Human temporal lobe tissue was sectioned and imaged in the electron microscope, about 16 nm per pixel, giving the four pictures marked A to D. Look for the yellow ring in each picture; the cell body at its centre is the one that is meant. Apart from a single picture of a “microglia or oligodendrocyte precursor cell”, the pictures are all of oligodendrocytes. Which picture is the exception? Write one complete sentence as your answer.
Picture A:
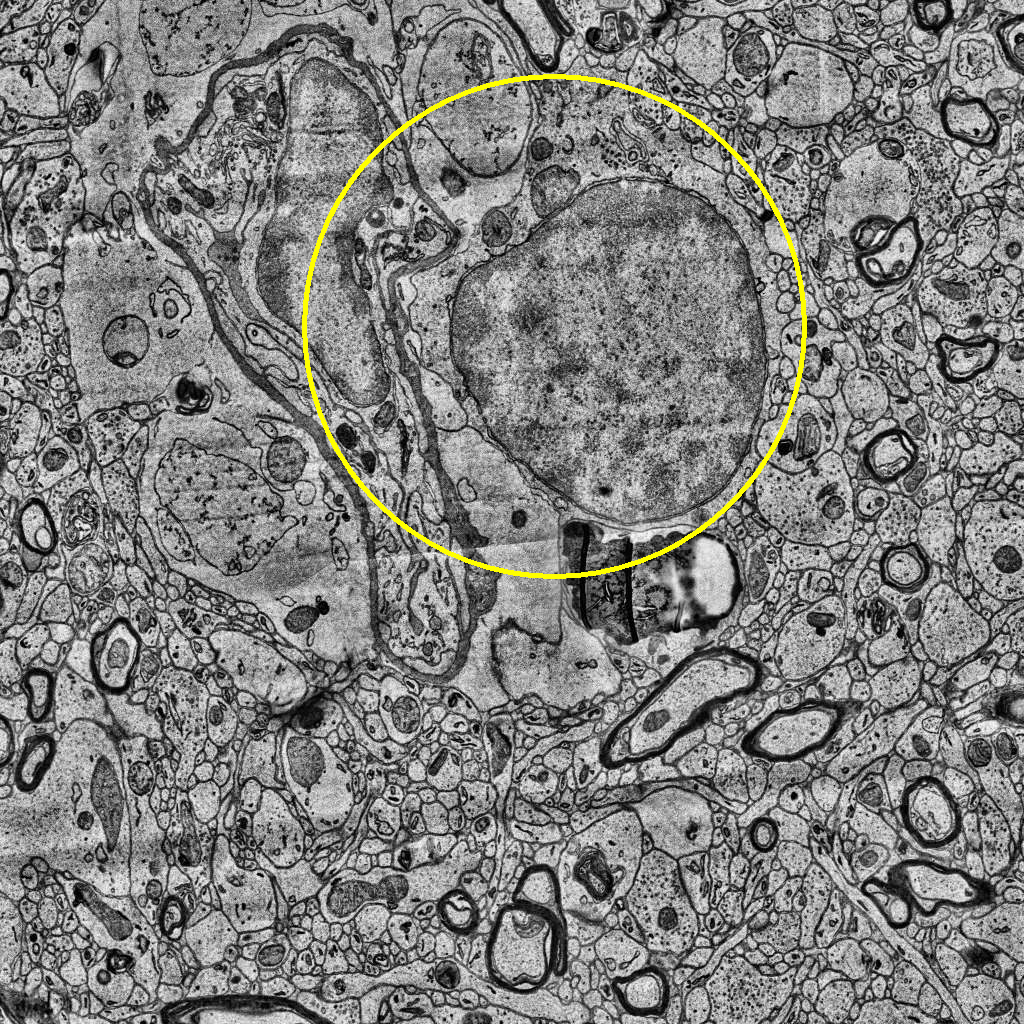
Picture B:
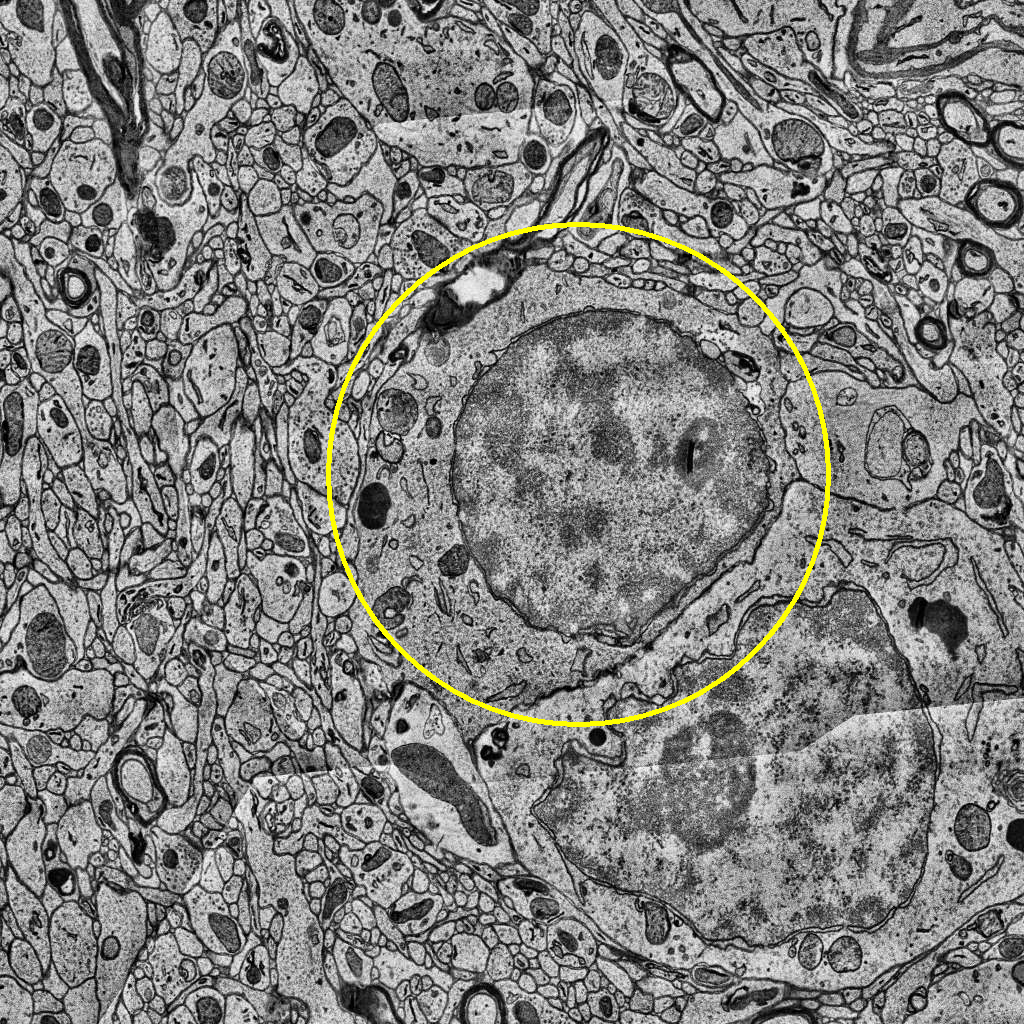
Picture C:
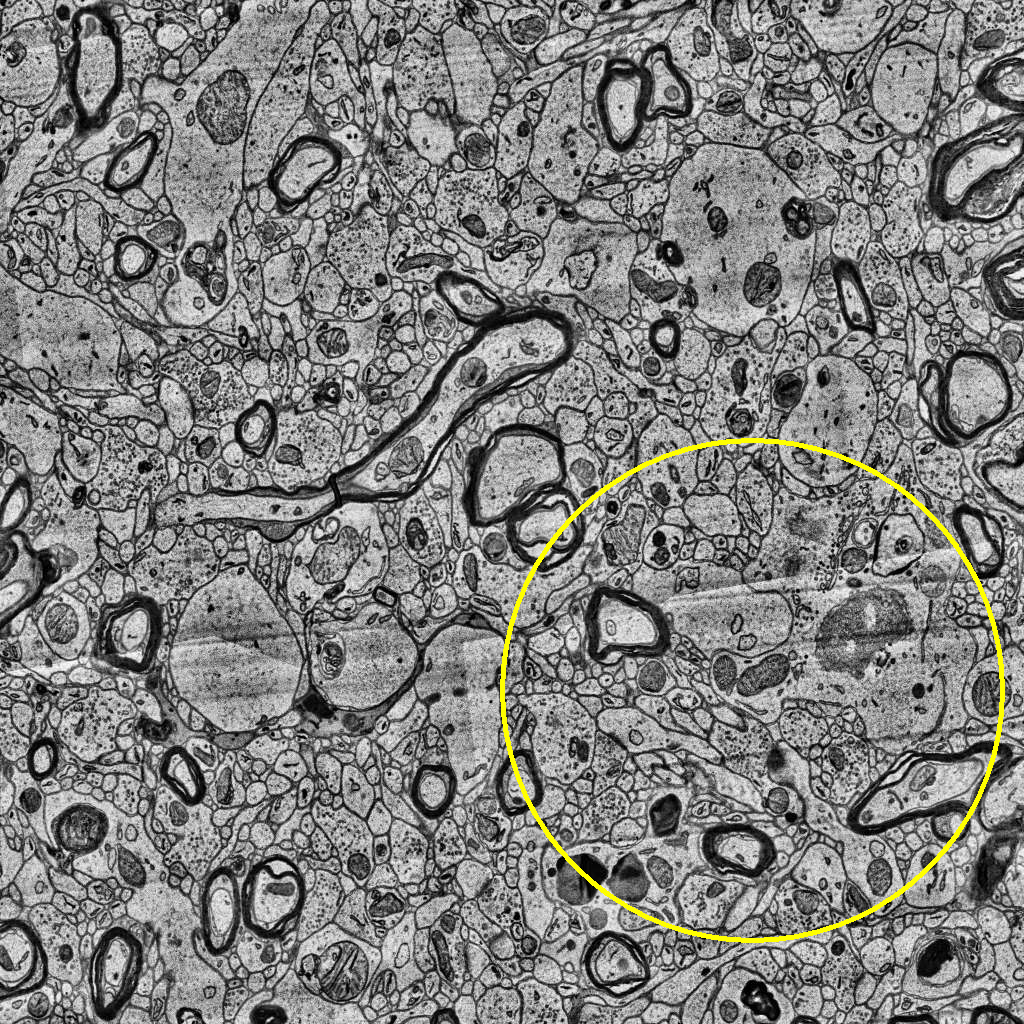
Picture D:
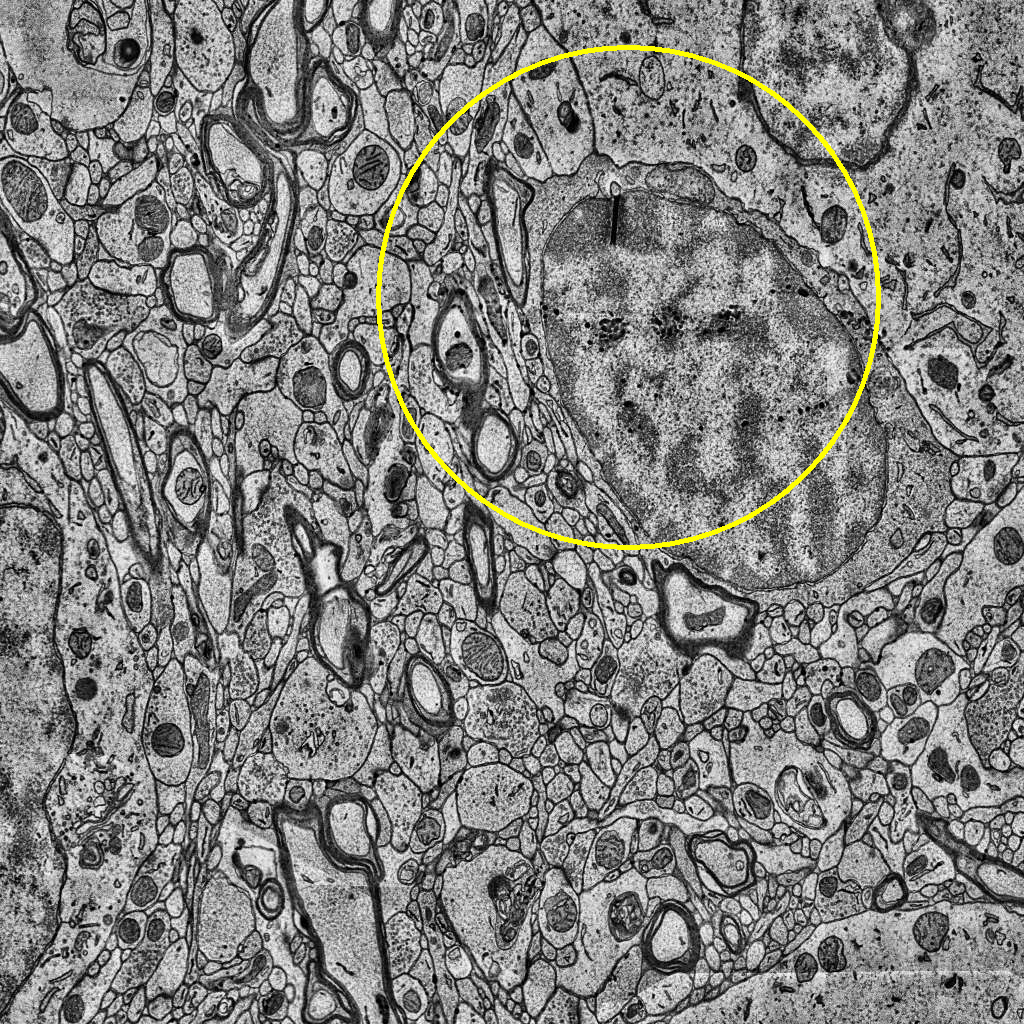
Picture C shows the “microglia or oligodendrocyte precursor cell”.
